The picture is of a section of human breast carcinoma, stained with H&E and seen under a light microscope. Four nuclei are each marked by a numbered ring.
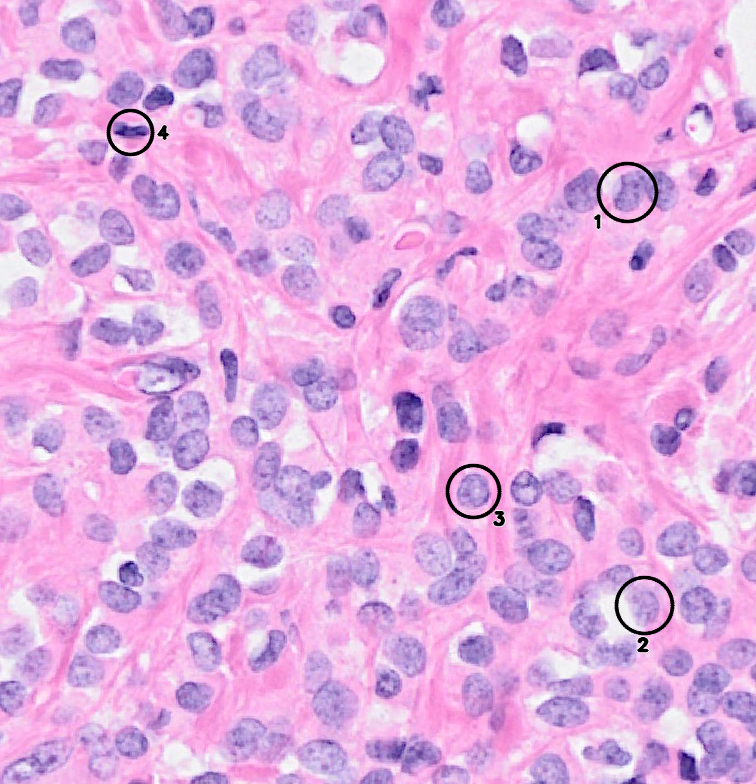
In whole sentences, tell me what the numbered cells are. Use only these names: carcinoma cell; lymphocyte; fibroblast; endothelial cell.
Cells 1, 2 and 3 are carcinoma cells. Cell 4 is a lymphocyte.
